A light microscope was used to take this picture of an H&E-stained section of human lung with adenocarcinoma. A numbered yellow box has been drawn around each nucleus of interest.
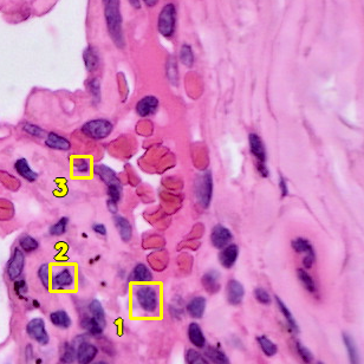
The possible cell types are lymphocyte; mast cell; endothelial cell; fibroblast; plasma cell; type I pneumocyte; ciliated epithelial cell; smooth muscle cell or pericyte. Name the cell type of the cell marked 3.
endothelial cell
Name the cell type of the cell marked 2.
lymphocyte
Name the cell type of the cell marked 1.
lymphocyte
